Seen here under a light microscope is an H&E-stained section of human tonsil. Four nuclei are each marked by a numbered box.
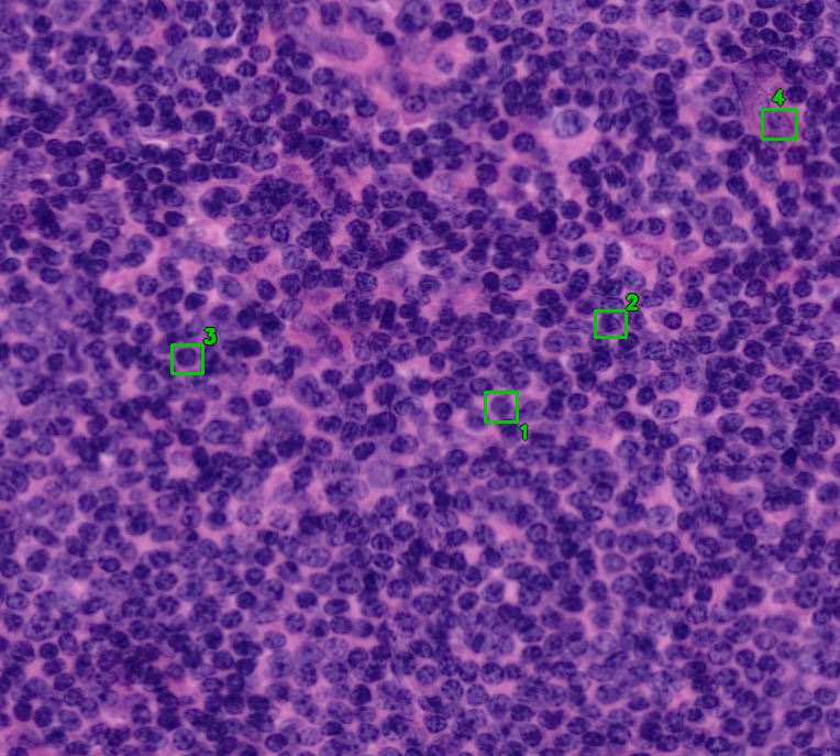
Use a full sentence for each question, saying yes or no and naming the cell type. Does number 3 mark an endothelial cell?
No, number 3 points to a small lymphocyte and not to an endothelial cell.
